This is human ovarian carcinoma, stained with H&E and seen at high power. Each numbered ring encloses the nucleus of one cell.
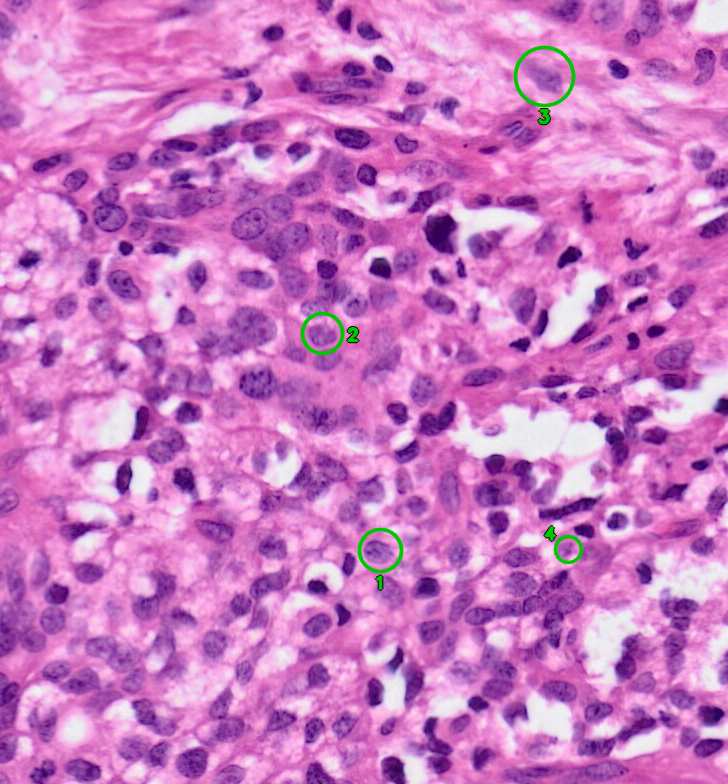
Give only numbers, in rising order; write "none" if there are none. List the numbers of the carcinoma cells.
2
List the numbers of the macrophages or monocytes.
1, 4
